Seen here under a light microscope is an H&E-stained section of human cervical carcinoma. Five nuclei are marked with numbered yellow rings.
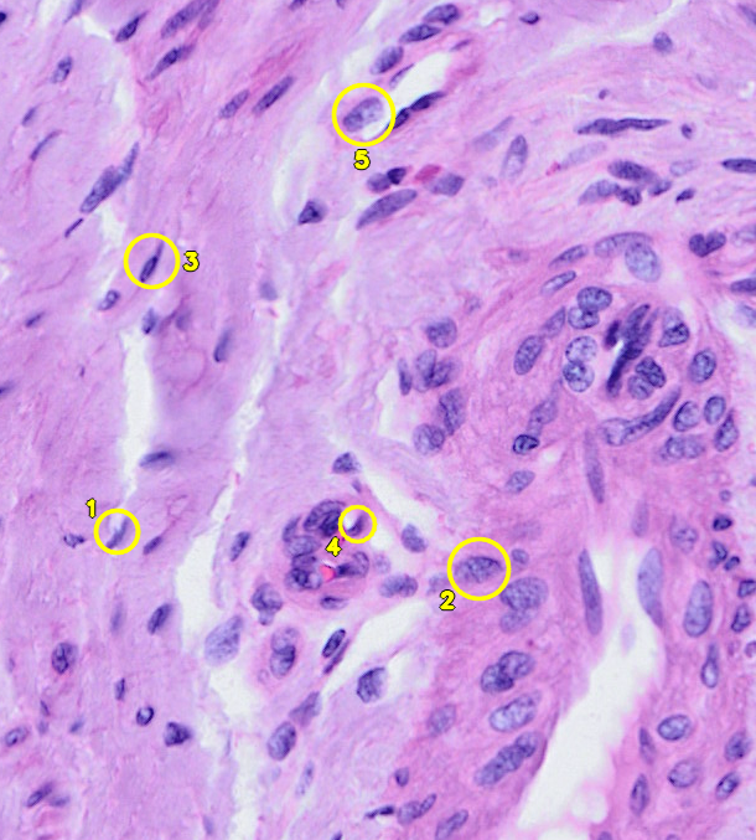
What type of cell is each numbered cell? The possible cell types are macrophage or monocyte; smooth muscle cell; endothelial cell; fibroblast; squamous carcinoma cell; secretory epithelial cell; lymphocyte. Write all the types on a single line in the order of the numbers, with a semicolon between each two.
fibroblast; smooth muscle cell; fibroblast; endothelial cell; endothelial cell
